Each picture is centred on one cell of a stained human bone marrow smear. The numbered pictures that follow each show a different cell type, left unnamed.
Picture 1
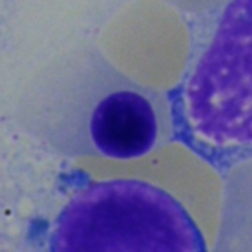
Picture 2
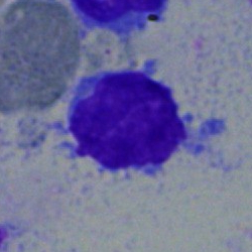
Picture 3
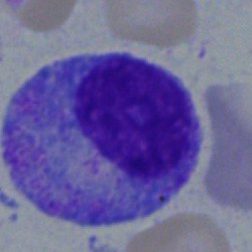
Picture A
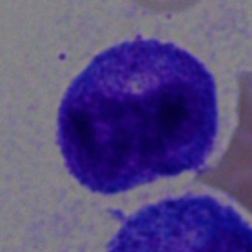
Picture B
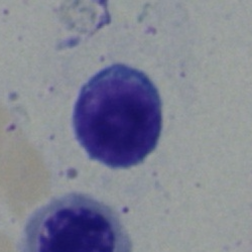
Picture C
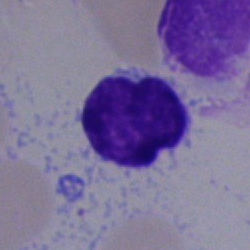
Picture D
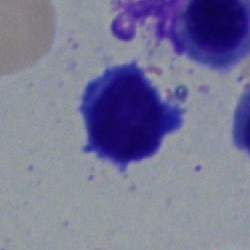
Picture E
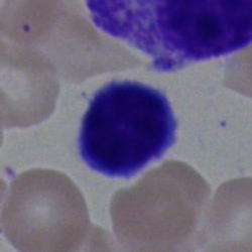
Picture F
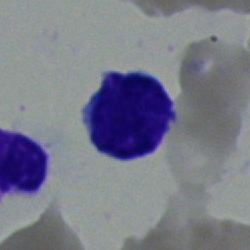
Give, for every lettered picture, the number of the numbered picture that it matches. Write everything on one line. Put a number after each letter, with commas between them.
A 3, B 2, C 2, D 2, E 2, F 2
